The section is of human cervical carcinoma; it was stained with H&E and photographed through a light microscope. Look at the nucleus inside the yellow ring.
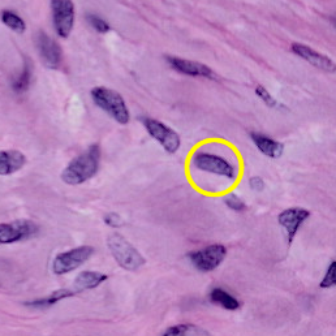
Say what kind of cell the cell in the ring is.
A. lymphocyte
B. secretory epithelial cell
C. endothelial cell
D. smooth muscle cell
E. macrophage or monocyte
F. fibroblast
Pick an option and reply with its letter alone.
F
